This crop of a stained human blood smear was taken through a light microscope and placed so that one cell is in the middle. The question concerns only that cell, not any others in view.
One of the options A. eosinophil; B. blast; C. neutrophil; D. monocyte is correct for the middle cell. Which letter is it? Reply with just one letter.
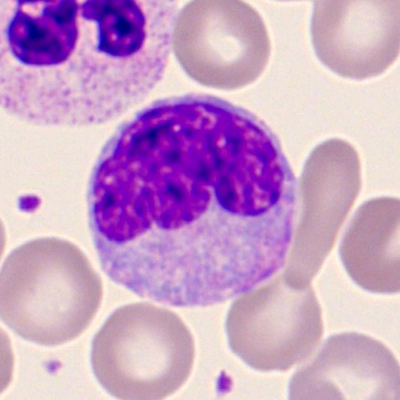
D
